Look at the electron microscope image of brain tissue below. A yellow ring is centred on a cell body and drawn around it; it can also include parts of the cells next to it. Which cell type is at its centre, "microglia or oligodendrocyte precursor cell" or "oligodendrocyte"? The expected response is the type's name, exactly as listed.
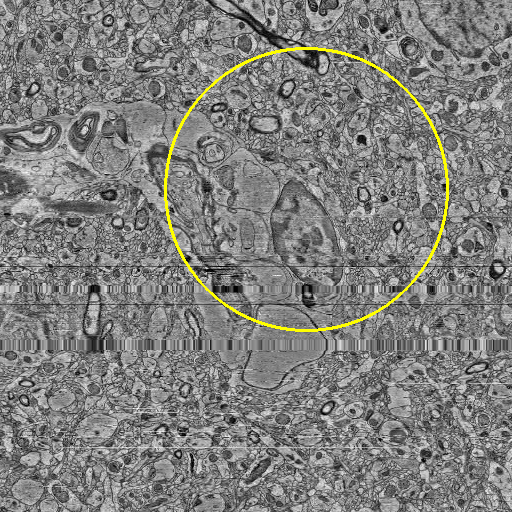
microglia or oligodendrocyte precursor cell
